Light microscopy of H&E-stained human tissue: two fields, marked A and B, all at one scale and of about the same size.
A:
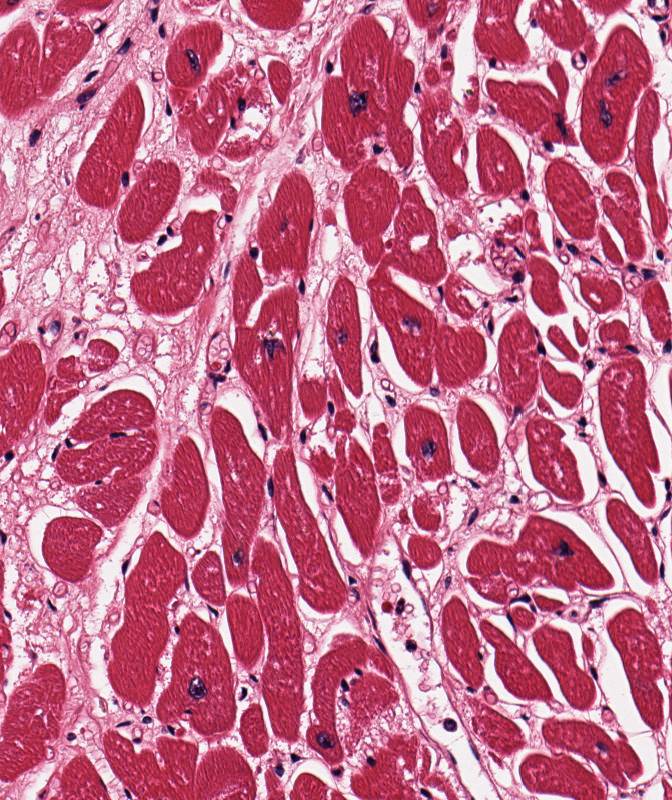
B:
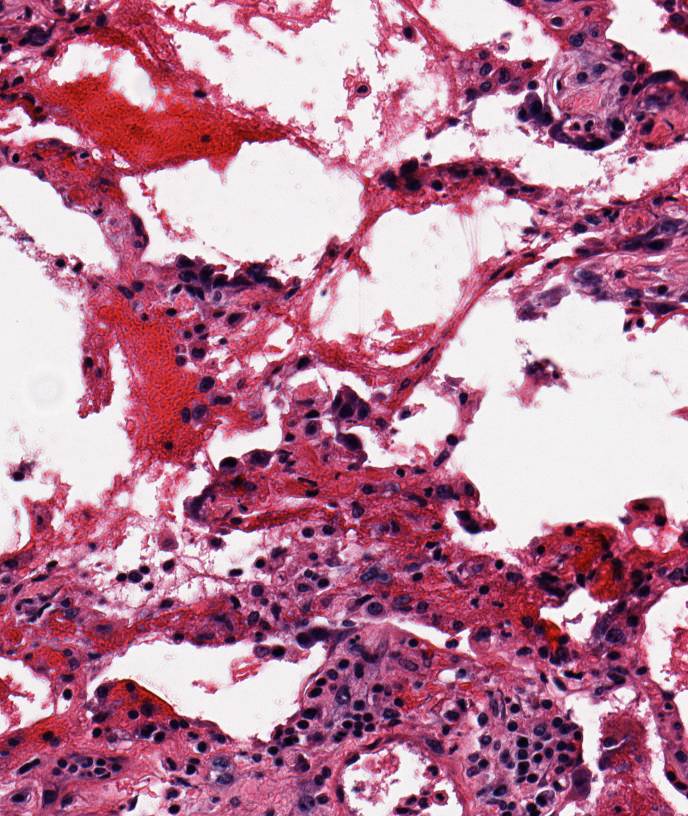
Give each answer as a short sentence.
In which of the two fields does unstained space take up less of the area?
Unstained space takes up less of field A than of field B.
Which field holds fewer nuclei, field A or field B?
Field A holds fewer nuclei than field B.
